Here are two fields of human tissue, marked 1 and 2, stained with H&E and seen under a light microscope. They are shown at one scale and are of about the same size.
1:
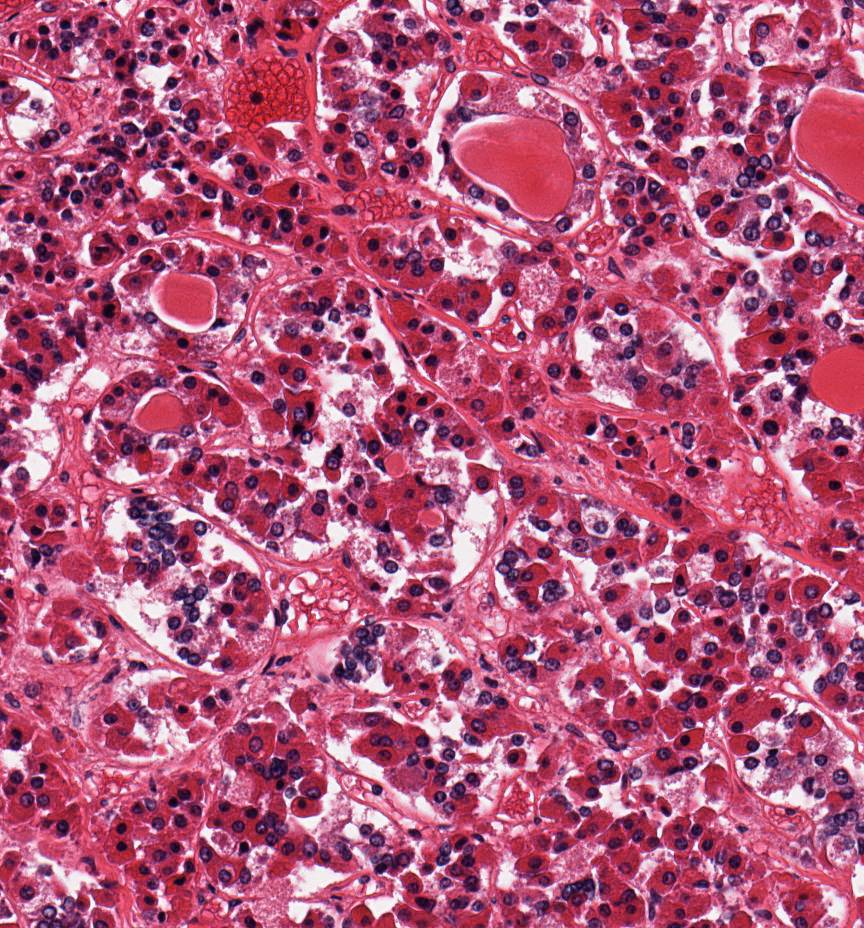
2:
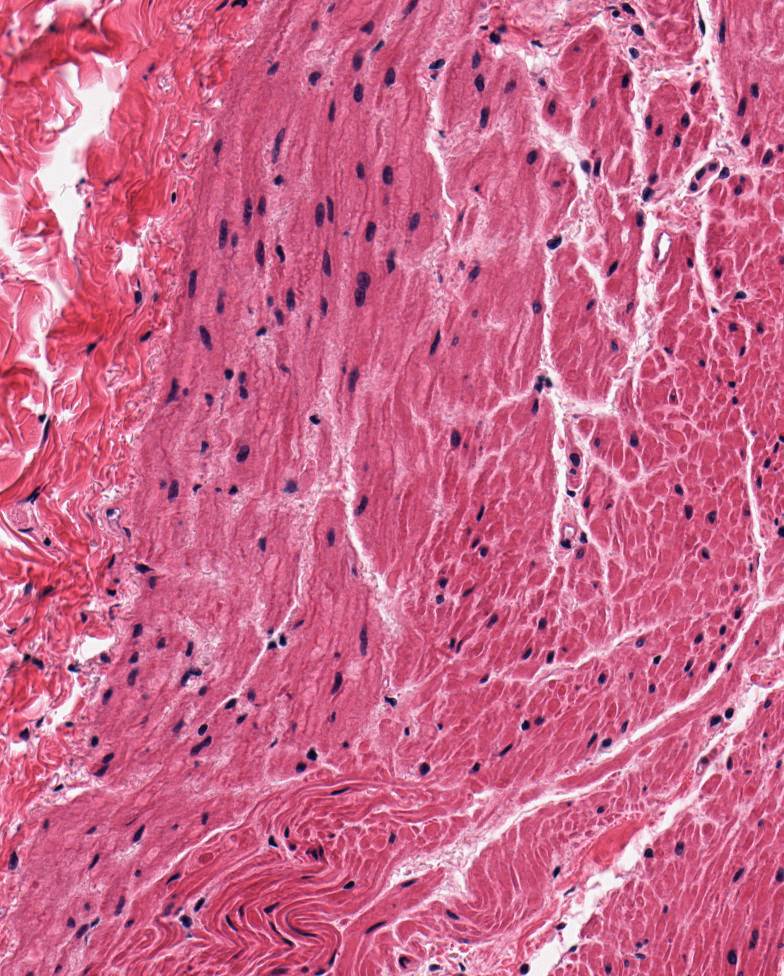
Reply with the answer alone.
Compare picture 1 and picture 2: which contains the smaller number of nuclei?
2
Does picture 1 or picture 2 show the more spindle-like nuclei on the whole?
2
